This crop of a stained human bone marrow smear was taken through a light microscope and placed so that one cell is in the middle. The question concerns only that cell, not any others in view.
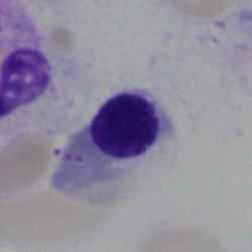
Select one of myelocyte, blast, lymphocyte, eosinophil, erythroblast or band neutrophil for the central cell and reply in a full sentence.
The crop's centre is taken up by an erythroblast.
